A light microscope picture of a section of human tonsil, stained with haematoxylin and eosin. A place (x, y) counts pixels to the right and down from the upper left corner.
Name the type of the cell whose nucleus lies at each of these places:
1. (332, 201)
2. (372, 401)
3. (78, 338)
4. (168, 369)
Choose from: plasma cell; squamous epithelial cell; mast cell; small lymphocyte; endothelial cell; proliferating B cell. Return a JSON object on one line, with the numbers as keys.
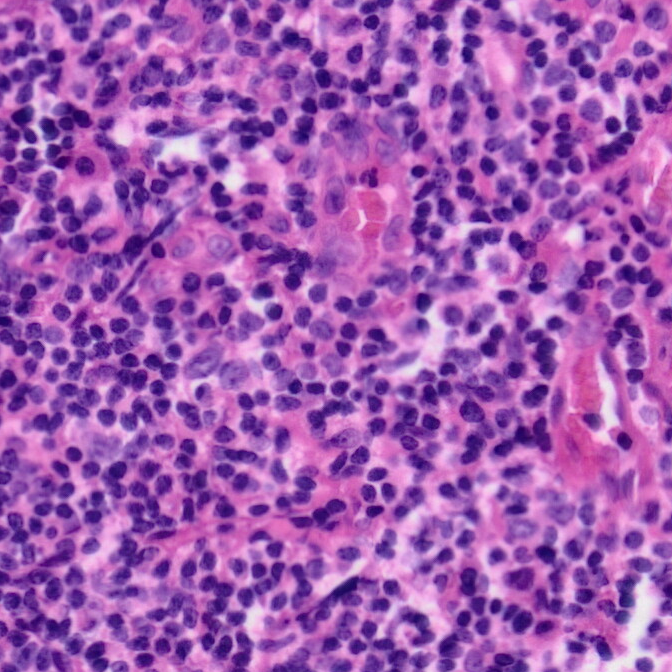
{"1": "endothelial cell", "2": "small lymphocyte", "3": "small lymphocyte", "4": "small lymphocyte"}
